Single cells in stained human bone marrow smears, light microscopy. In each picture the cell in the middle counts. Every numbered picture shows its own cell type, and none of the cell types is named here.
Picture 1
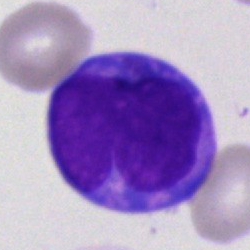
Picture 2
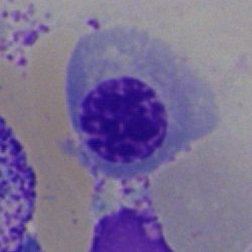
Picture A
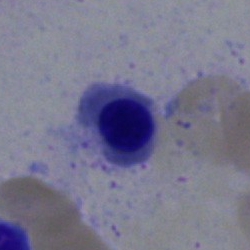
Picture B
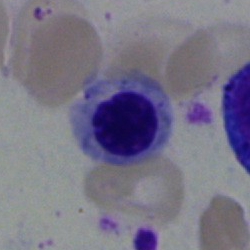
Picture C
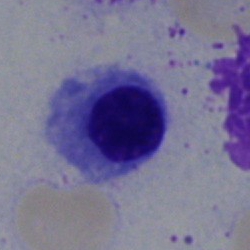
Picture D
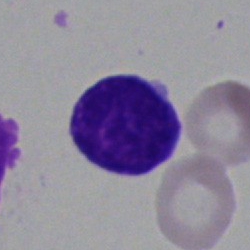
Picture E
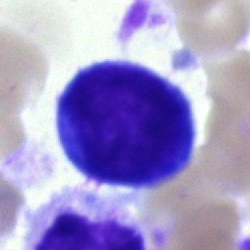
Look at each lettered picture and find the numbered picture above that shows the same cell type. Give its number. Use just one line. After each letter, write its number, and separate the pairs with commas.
A 2, B 2, C 2, D 1, E 1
